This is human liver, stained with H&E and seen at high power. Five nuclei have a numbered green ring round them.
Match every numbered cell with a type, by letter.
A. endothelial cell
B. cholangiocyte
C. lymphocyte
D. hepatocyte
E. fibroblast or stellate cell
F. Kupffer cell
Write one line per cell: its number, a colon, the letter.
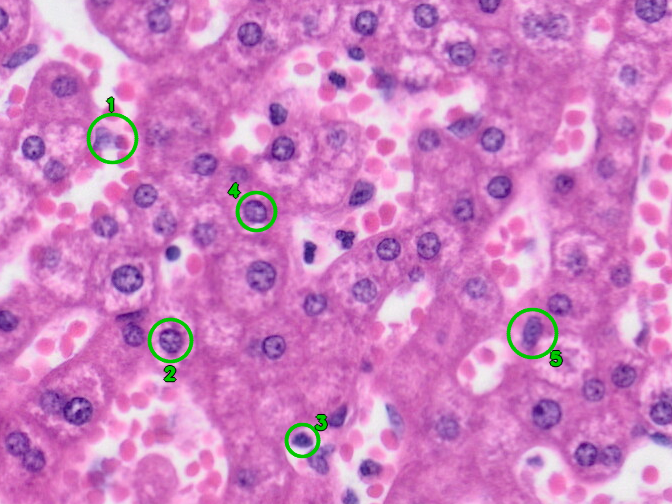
1: A
2: D
3: C
4: D
5: E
